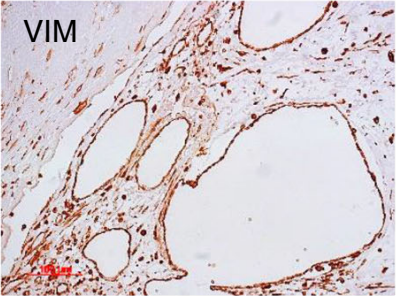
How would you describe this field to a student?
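Most stromal cells are stained deep brown in their cytoplasm. The elongated cells are scattered and oriented in various directions, denser toward the lower left. The linings of the empty vascular spaces are also outlined in brown. The background matrix between cells stays pale.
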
